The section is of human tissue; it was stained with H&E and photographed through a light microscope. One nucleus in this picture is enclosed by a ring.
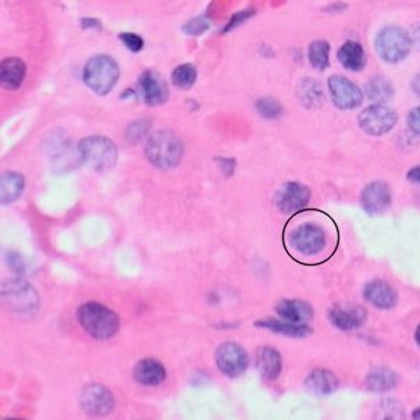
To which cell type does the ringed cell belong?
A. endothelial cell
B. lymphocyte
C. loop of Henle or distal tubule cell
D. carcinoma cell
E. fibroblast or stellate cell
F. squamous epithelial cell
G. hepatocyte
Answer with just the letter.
C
